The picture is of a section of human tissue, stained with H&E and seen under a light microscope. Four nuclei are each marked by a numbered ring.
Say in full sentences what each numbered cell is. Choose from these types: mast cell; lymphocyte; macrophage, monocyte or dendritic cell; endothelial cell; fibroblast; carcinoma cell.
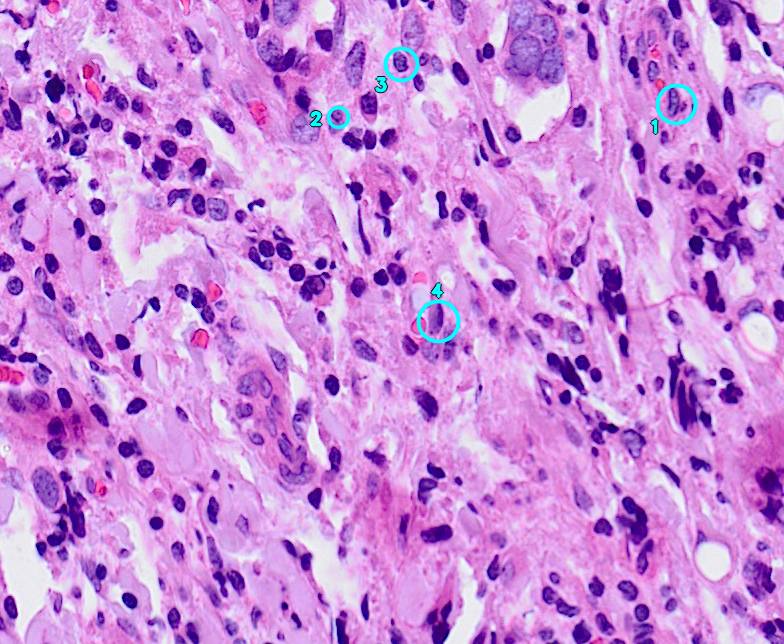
Cells 1 and 4 are endothelial cells. Cell 2 is a macrophage, monocyte or dendritic cell. Cell 3 is a lymphocyte.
